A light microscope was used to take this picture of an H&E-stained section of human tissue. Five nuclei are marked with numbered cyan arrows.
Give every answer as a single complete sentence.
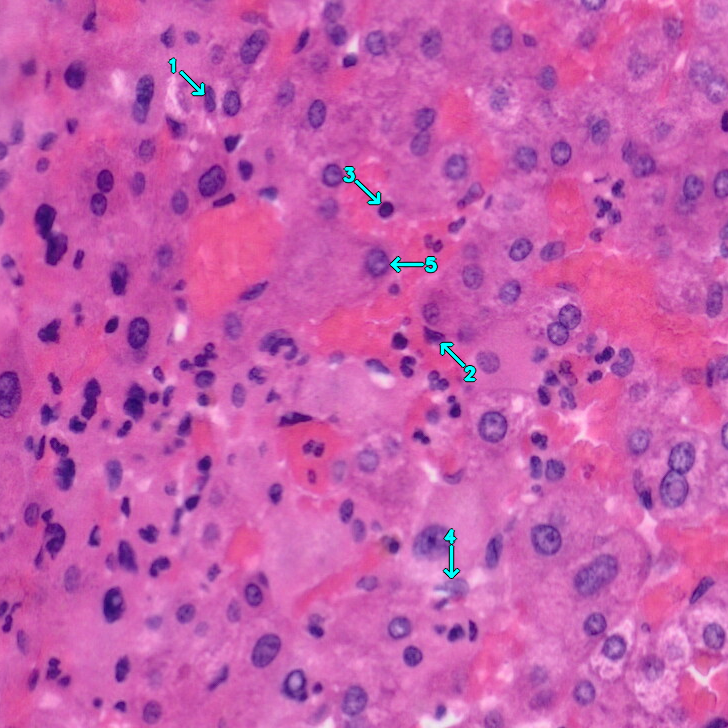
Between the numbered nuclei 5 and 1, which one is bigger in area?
Number 5 is larger; its area is about 2 times that of number 1.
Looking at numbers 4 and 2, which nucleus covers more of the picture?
At about 2.5 times the area of nucleus 2, nucleus 4 is the larger of the two.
